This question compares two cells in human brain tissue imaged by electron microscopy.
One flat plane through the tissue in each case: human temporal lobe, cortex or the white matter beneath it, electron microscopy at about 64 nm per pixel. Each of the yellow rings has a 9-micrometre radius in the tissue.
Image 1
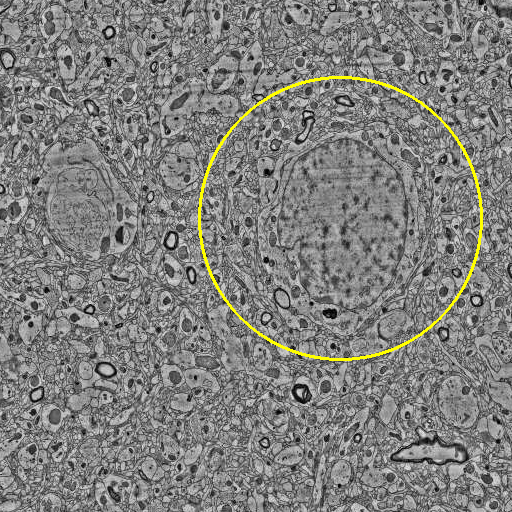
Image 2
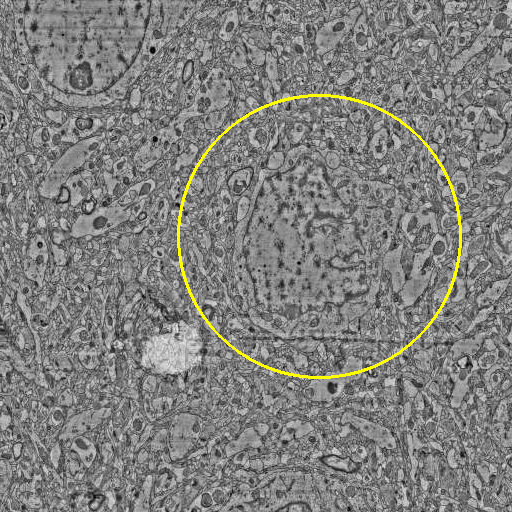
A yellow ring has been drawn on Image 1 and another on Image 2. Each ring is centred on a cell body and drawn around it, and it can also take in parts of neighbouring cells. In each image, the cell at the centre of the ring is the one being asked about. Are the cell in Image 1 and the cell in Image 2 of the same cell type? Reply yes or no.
yes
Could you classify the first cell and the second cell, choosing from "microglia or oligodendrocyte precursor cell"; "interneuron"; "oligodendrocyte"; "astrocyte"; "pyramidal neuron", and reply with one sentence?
Both cells are the same kind, each one being an interneuron.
